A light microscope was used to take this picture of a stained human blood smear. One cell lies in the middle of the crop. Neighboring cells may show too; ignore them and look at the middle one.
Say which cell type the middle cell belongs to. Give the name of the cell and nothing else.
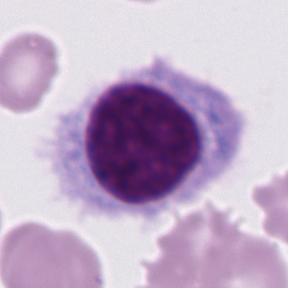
hairy cell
